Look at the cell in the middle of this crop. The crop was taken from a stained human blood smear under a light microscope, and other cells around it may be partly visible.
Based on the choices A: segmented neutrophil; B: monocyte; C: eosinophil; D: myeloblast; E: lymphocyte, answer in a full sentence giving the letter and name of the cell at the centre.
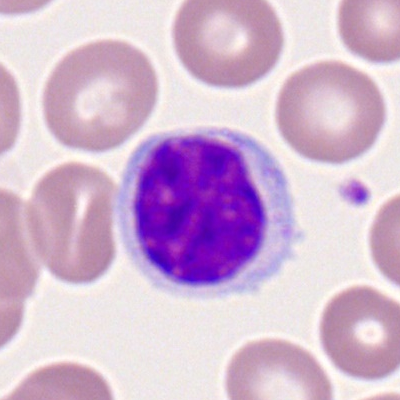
Option E gets it right: the cell in the middle is a lymphocyte.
